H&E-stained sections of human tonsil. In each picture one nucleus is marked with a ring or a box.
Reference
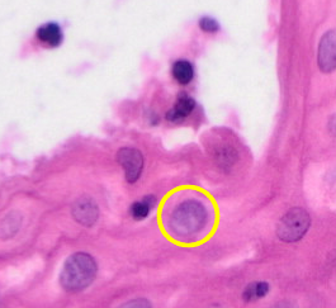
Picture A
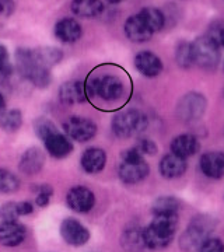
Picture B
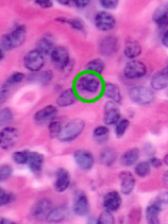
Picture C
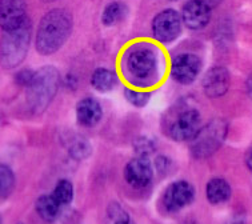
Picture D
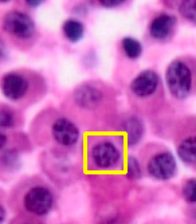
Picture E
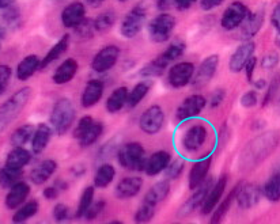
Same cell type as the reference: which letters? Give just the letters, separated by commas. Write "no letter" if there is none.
no letter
